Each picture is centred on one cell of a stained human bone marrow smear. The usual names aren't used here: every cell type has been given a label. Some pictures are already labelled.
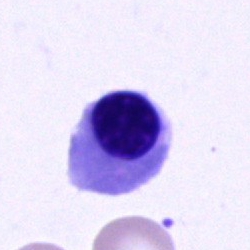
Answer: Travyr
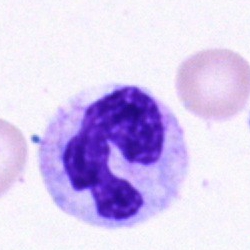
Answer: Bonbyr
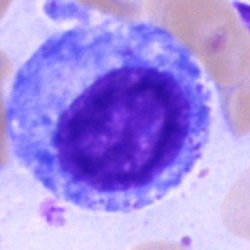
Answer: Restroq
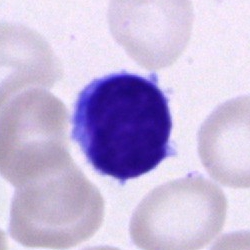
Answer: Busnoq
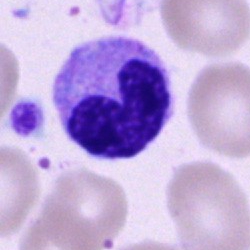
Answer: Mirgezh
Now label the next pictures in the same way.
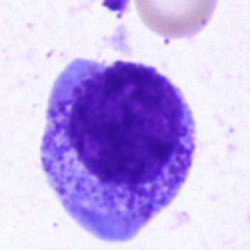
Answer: Restroq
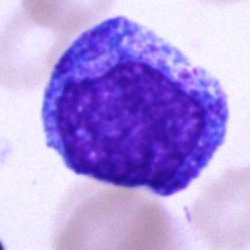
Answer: Restroq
